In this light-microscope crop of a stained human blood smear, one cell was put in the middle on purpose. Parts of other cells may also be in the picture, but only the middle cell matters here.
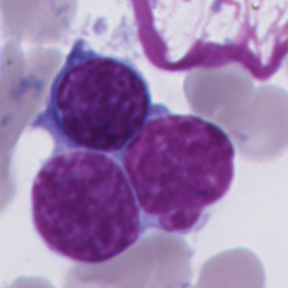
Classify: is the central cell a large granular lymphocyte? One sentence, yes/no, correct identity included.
No, the middle of this crop is occupied by a myeloblast rather than a large granular lymphocyte.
